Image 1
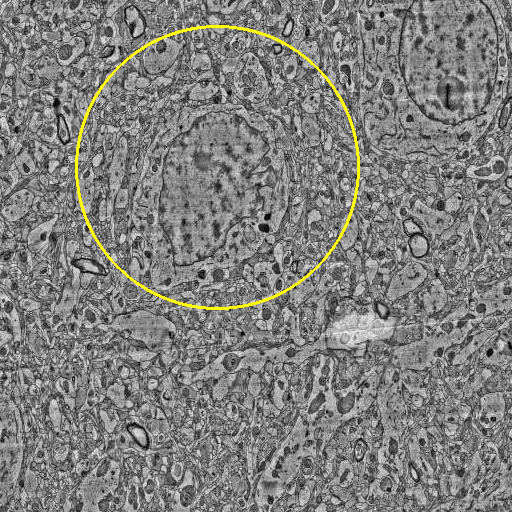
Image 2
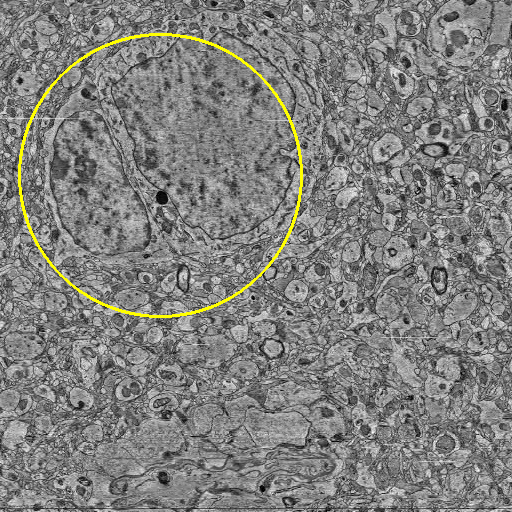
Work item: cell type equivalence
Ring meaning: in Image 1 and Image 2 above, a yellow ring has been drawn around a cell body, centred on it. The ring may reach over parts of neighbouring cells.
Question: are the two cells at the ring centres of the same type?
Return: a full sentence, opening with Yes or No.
No, the two centred cells are of two types.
